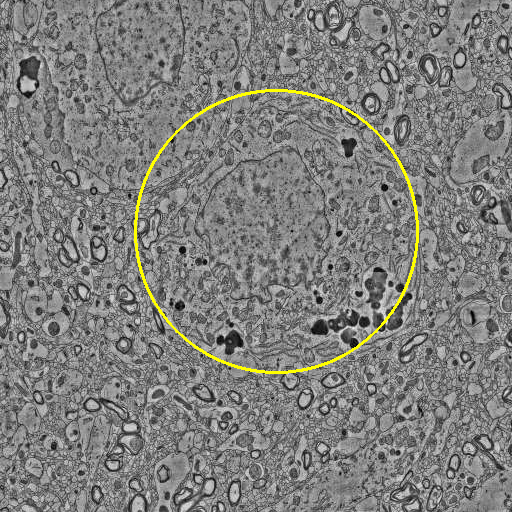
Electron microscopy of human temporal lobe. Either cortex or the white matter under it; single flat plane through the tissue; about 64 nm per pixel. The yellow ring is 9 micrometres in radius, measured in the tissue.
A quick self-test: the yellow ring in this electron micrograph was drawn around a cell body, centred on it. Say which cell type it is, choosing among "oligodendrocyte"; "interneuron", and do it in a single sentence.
The yellow-ringed cell is an interneuron.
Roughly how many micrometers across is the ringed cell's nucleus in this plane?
In this plane, about 10 micrometres in length and 9 in width.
